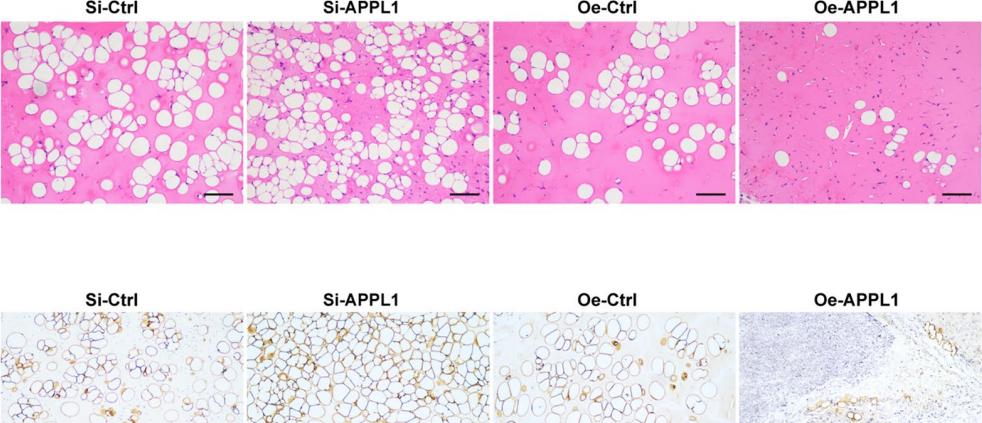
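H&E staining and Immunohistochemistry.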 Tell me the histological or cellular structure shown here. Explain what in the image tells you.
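Many round, empty, clear spaces of varying size lie in the tissue. The clear spaces are bounded by thin pink or brown-lined rims. The spaces are more crowded in some images than in others.
Answer: fat vacuoles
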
